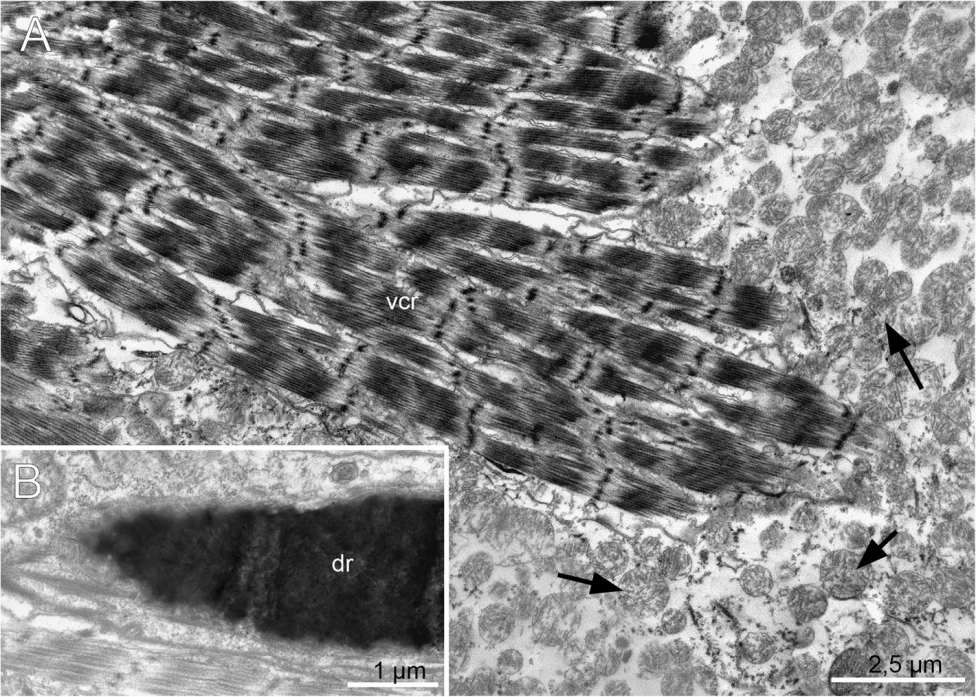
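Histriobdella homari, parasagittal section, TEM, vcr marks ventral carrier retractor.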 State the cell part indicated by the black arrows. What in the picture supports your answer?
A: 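The arrows point to round, membrane-bound organelles with internal folded membranes. Many such round organelles are packed together to the right of the striated filament bundles. That points to this answer: mitochondria.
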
